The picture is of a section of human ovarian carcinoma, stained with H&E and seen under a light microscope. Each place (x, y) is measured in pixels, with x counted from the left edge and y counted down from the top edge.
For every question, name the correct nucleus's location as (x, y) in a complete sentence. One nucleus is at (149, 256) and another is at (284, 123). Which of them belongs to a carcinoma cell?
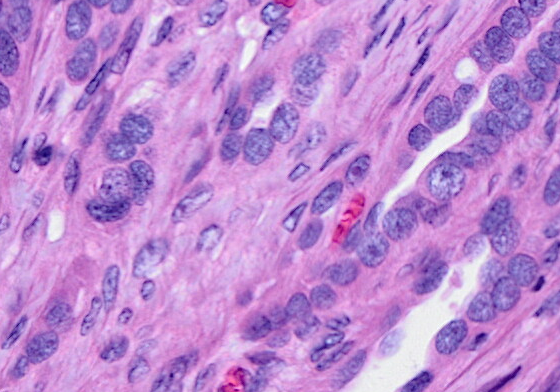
The nucleus at (284, 123) is identified as belonging to a carcinoma cell.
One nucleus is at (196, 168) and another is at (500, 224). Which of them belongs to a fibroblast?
Identify the nucleus at (196, 168) as the one belonging to a fibroblast.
